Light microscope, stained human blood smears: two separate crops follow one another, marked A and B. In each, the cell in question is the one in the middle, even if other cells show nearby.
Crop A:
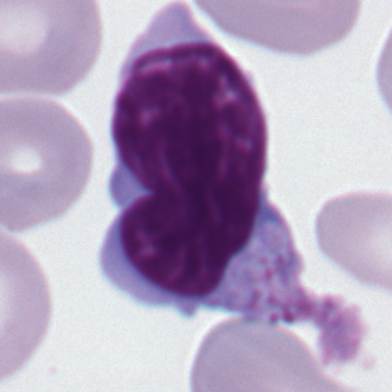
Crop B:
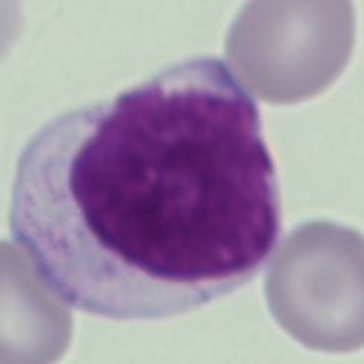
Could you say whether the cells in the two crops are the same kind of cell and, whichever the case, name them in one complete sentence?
Yes, both the first crop and the second crop show large granular lymphocytes.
